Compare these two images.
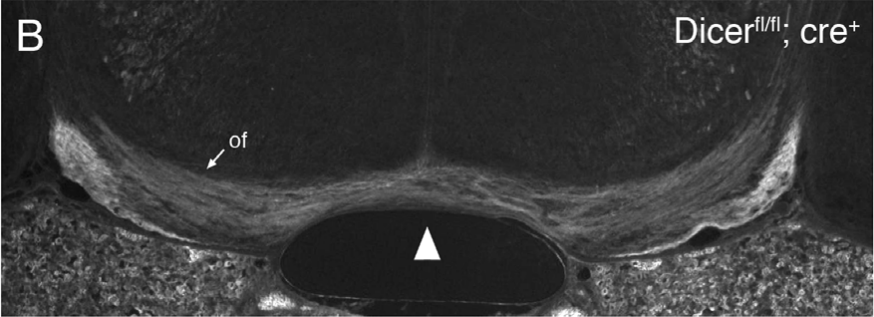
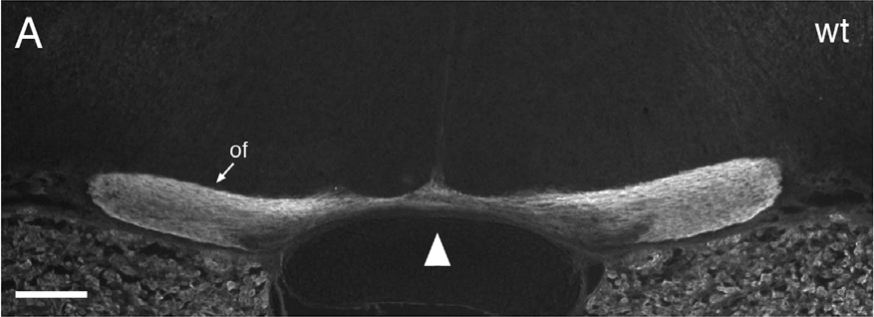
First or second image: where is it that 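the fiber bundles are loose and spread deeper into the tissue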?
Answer: The first image.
